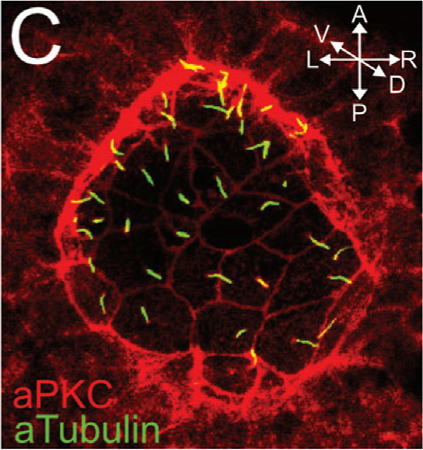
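A roughly rounded to triangular ring of epithelial cells, their borders drawn in red, encloses a central lumen. The outer rim of the vesicle is outlined more brightly in red, and the cells of the floor or roof appear as a polygonal mosaic of red outlines. Where cilia overlap the red cell borders at the rim they appear yellow. Outside the vesicle, fainter red outlines of surrounding cells are seen.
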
